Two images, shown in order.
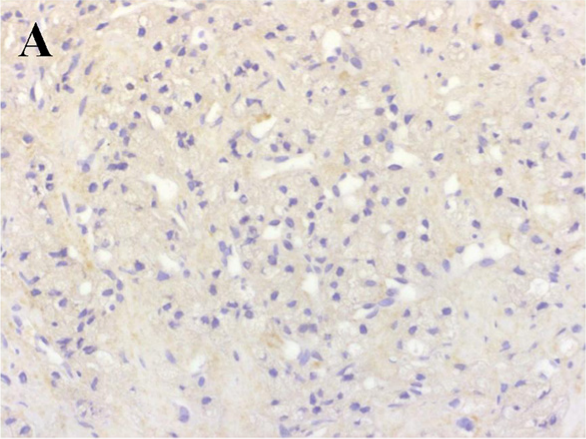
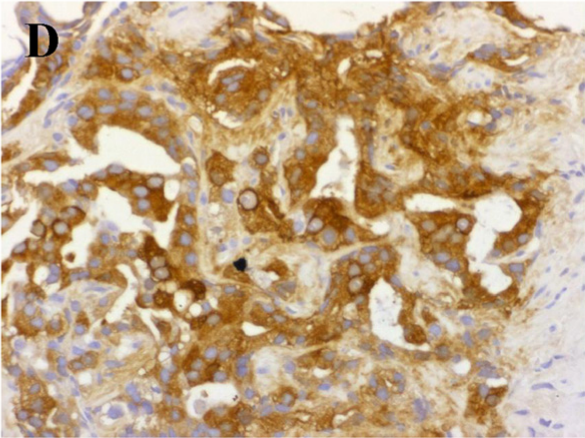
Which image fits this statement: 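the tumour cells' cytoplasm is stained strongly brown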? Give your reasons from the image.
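The second image. Second image: tumour cells have dense dark brown cytoplasm around blue nuclei. First image: cells show only faint pale background tint with blue nuclei.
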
